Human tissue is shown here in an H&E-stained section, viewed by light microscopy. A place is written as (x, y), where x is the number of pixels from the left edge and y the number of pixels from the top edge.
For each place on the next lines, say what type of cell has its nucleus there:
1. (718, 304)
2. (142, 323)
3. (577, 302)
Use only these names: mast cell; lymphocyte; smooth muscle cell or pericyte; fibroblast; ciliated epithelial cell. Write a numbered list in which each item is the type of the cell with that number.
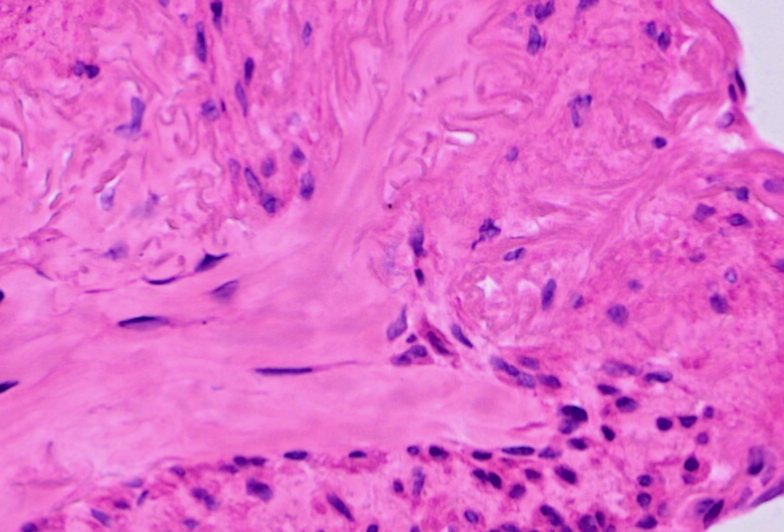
1. smooth muscle cell or pericyte
2. fibroblast
3. smooth muscle cell or pericyte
